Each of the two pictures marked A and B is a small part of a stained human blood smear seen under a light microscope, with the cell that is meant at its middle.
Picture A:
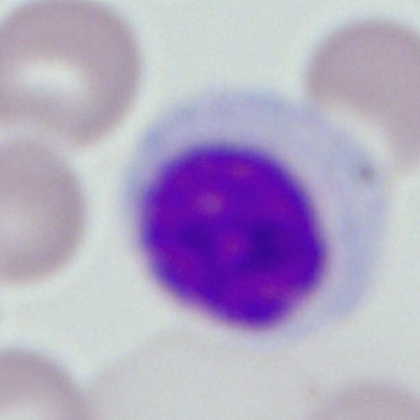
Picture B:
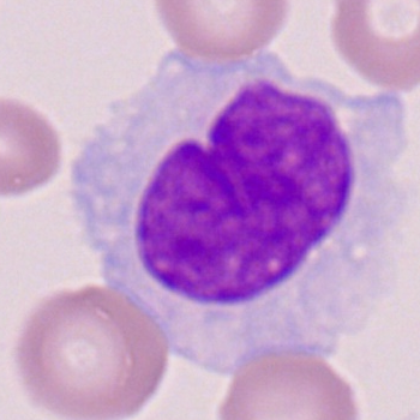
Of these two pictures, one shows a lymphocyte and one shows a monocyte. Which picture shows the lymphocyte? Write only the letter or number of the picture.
A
